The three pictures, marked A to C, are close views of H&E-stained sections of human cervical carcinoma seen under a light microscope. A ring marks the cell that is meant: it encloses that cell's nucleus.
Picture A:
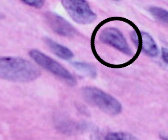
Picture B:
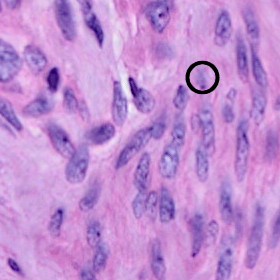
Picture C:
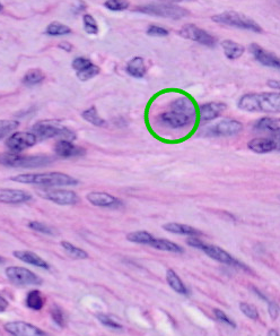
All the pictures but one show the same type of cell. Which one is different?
B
